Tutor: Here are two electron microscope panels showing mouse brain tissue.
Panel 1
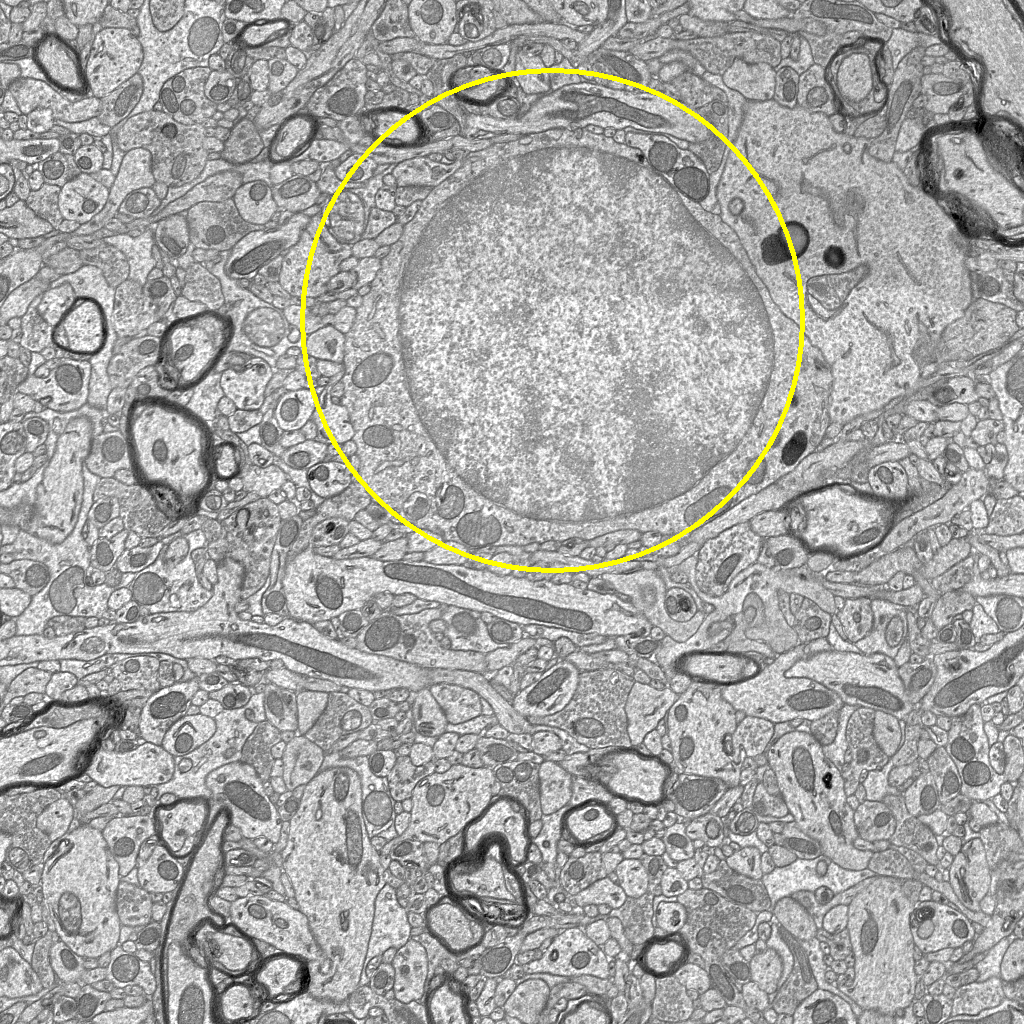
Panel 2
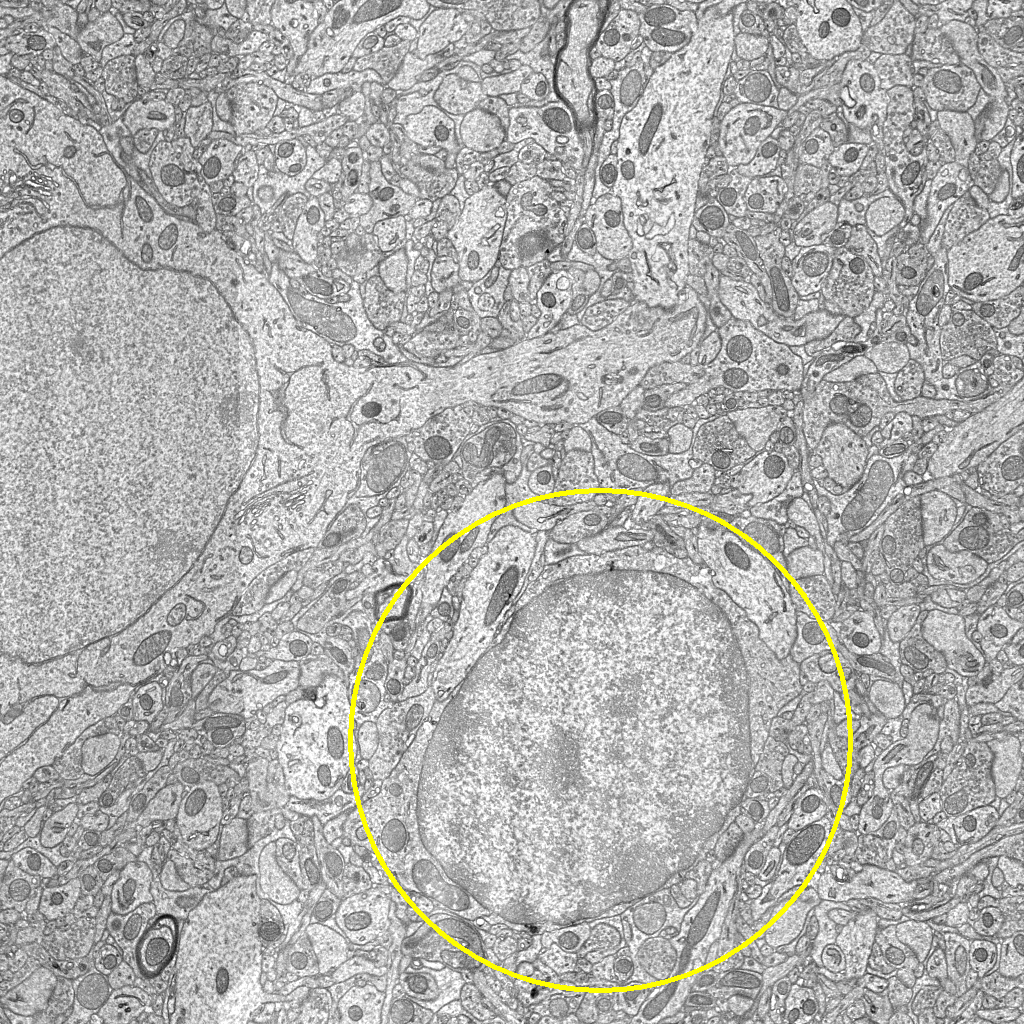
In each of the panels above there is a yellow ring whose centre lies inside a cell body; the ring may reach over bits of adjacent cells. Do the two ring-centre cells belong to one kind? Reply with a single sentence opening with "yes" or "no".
Yes, the two cells lying at the ring centres in the panels belong to one kind.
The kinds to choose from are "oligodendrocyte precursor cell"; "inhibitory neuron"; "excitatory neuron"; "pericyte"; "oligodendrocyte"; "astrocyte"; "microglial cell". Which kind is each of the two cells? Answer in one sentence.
Both rings mark an oligodendrocyte, one in each picture.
